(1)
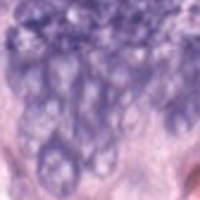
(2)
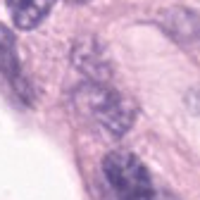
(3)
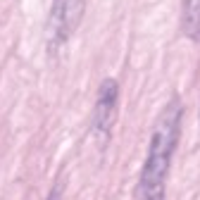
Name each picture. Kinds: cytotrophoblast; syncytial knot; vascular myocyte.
1: syncytial knot
2: cytotrophoblast
3: vascular myocyte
